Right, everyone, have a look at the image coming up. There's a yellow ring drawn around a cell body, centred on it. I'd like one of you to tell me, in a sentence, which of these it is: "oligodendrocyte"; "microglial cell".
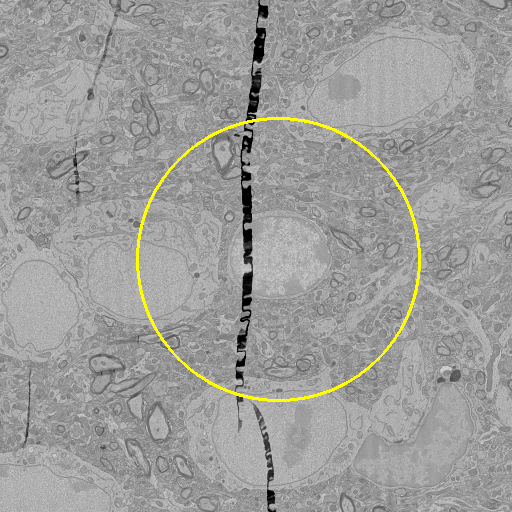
The yellow ring sits on an oligodendrocyte.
